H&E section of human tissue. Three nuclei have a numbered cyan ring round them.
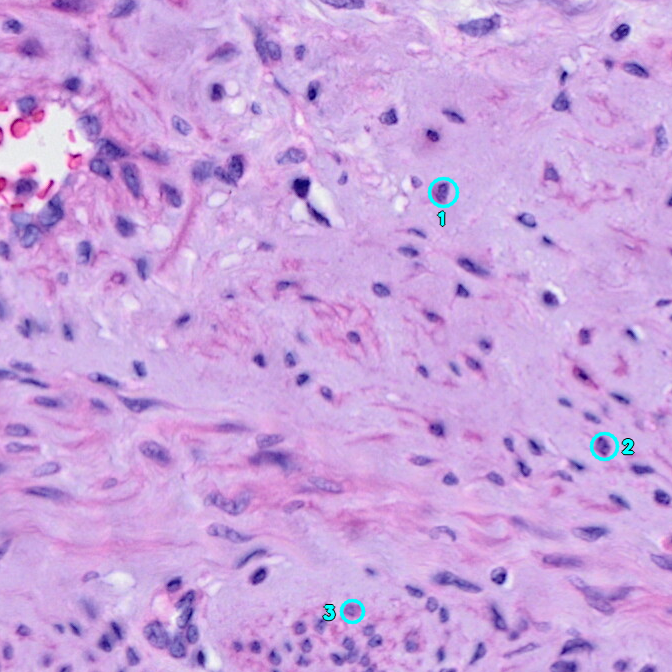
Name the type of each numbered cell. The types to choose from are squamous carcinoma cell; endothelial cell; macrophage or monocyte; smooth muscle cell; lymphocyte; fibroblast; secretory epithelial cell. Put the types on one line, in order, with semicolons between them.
fibroblast; smooth muscle cell; smooth muscle cell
